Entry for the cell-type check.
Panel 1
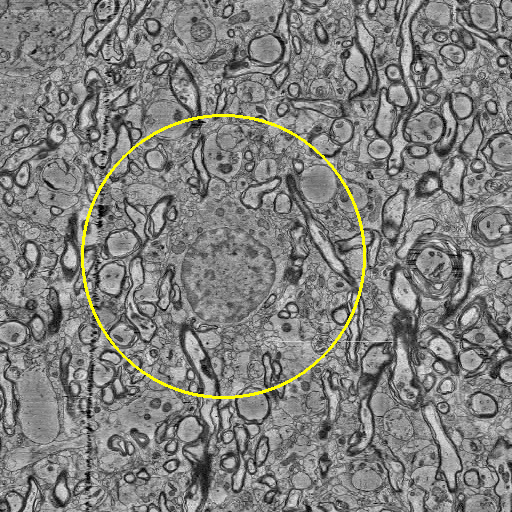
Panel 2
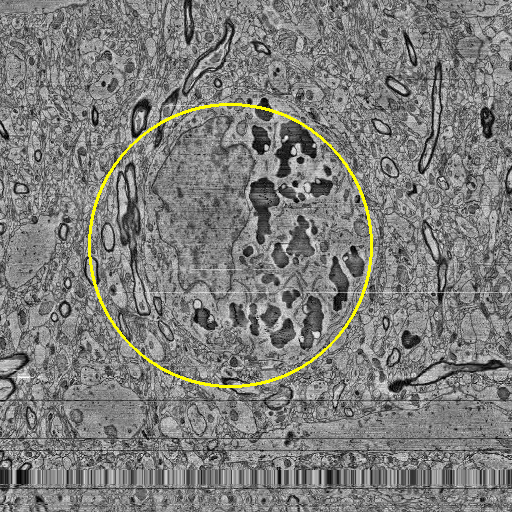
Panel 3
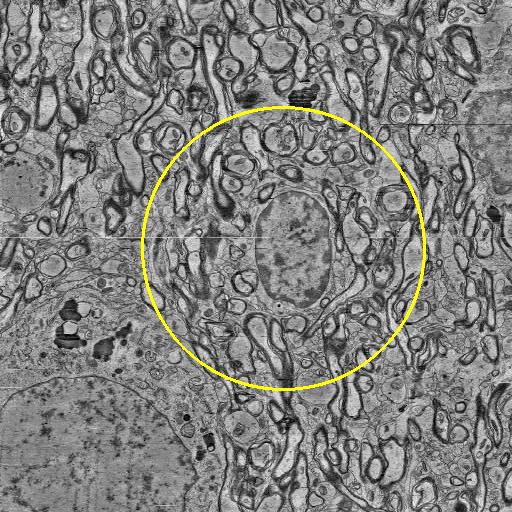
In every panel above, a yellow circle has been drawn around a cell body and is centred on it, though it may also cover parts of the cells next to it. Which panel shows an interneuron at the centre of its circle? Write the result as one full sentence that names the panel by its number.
Panel 2 shows it at the centre of its circle.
